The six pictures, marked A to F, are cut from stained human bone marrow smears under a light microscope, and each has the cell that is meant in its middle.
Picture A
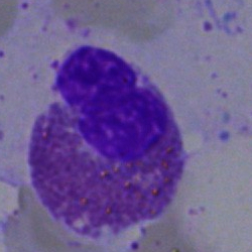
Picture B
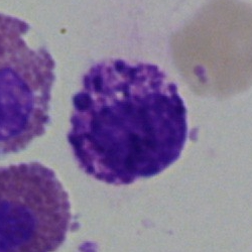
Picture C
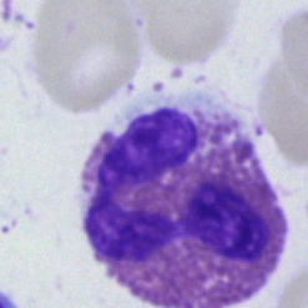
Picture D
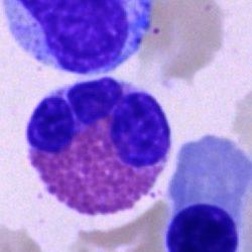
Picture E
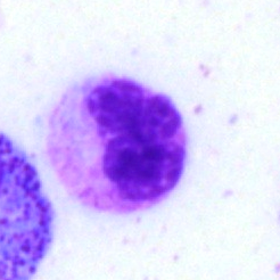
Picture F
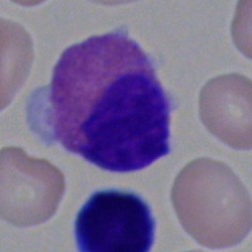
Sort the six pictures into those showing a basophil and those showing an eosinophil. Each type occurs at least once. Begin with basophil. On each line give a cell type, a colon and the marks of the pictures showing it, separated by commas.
basophil: B, E
eosinophil: A, C, D, F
